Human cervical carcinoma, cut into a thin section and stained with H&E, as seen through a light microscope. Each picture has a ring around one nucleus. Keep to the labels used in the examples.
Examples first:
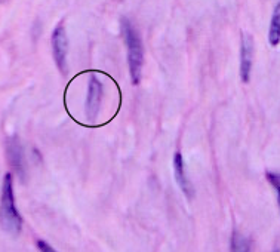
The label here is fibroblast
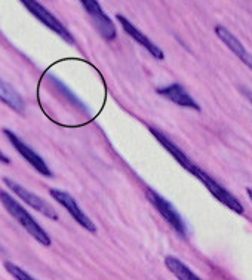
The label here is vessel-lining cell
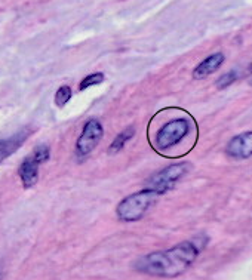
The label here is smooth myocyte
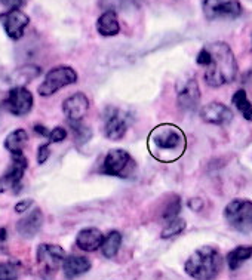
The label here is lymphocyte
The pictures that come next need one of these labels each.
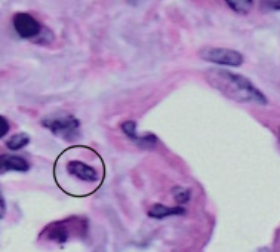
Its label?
lymphocyte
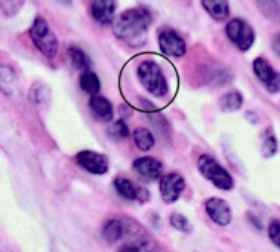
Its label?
lymphocyte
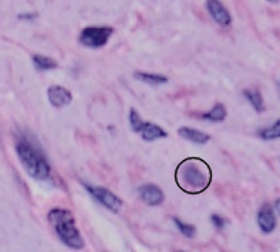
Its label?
smooth myocyte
